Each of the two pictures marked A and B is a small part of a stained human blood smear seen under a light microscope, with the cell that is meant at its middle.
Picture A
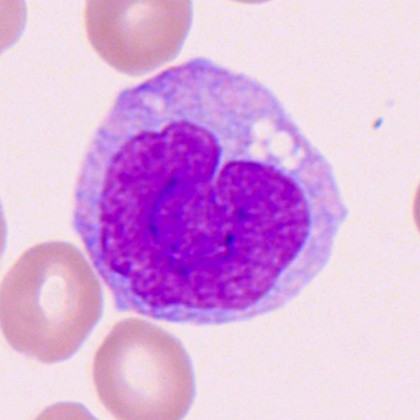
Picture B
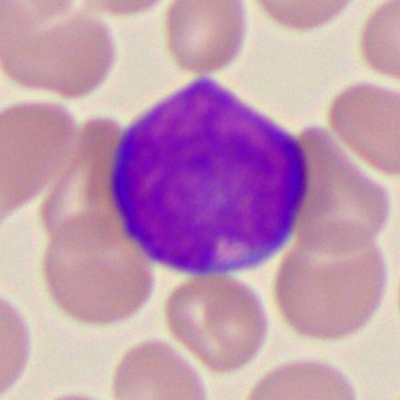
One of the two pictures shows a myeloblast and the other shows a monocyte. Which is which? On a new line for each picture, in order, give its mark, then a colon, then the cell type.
A: monocyte
B: myeloblast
